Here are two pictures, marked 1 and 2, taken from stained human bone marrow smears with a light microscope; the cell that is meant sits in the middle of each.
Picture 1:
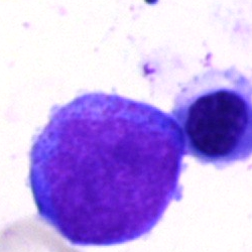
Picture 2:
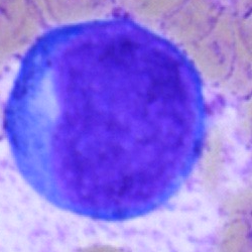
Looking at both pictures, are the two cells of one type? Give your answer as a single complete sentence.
Yes; the cells in both pictures are blasts.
